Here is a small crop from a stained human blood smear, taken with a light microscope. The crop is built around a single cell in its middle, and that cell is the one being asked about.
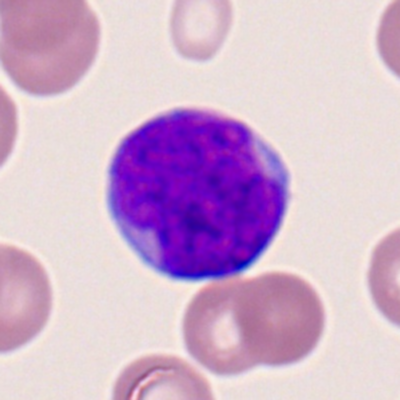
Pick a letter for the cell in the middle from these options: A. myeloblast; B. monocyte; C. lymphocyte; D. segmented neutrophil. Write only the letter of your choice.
A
